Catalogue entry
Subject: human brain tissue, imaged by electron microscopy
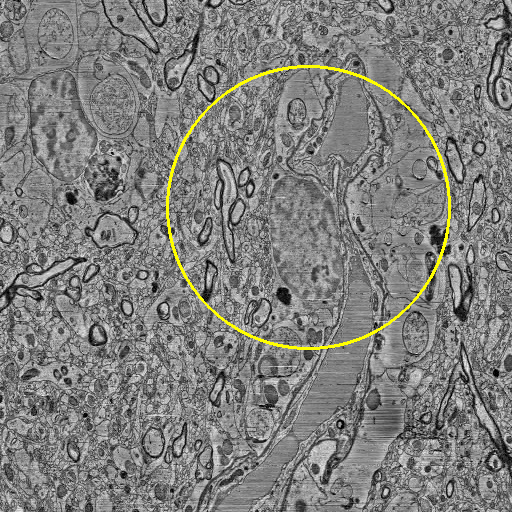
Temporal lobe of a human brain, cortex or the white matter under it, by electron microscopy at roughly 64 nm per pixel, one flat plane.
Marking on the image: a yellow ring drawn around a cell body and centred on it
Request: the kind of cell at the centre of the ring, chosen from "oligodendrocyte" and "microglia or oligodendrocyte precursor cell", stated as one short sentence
The ring has an oligodendrocyte at its centre.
